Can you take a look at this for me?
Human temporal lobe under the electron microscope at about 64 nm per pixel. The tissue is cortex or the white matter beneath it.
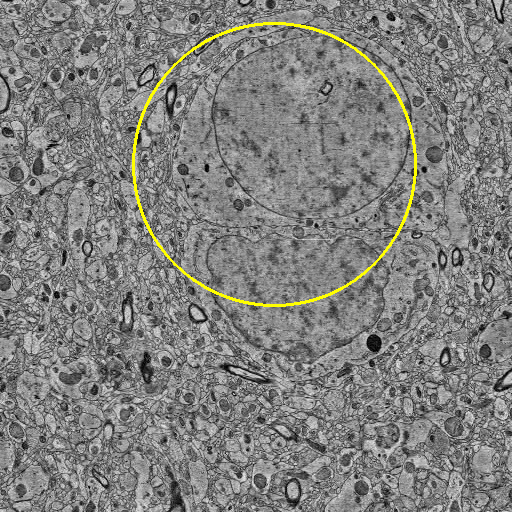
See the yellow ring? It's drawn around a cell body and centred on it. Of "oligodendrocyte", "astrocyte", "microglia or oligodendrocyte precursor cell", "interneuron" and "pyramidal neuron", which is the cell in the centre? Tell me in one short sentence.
The one in the centre is a pyramidal neuron.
